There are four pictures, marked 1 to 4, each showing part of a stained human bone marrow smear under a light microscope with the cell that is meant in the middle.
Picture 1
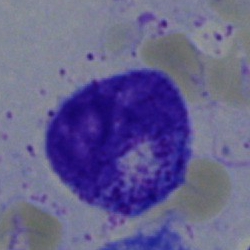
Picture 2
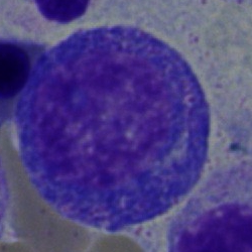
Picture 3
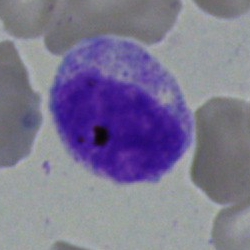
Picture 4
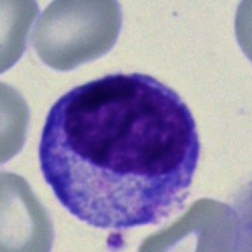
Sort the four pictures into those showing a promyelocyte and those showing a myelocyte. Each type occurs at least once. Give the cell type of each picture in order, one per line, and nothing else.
myelocyte
promyelocyte
myelocyte
promyelocyte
